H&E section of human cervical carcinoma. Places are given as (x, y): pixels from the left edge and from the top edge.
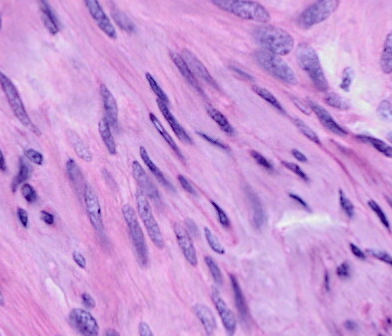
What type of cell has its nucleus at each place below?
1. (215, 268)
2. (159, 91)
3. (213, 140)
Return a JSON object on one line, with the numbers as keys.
{"1": "smooth muscle cell", "2": "fibroblast", "3": "fibroblast"}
